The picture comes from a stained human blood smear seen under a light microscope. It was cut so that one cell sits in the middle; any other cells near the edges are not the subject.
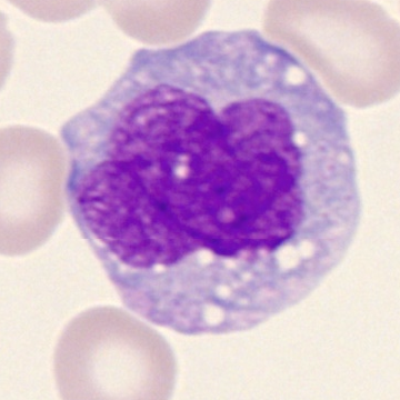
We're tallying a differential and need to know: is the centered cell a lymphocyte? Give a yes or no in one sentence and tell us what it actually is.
No, the identification should read a monocyte, not a lymphocyte, for the central cell.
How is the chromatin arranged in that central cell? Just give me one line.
The chromatin is fine throughout, without coarse clumps.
